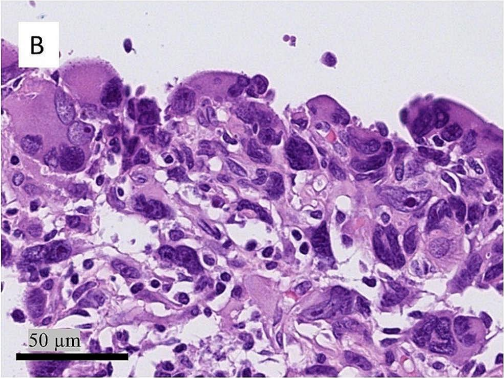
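Tumor tissue at the edge of a cystic space, rimmed by large pleomorphic cells with abundant dense pink cytoplasm. Many of these cells are multinucleated, with enlarged, dark, irregular nuclei, and some bulge into the empty lumen. Beneath the surface lie smaller cells with oval nuclei in a loose pale stroma with a few red blood cells.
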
